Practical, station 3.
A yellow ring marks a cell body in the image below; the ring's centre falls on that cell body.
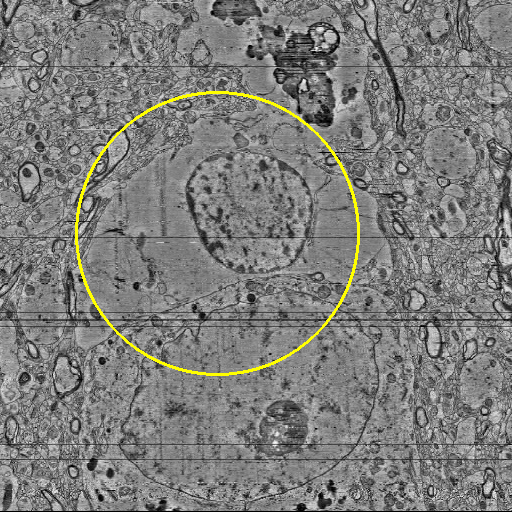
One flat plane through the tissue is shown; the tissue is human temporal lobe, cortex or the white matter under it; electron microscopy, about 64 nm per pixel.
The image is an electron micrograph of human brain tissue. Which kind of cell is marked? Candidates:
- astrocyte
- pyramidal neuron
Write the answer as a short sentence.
The marked cell body is that of an astrocyte.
